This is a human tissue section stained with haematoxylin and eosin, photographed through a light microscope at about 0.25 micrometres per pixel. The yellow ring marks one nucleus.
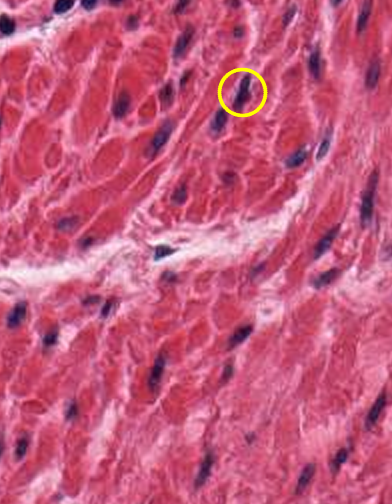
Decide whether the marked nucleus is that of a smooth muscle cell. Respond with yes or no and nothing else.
yes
